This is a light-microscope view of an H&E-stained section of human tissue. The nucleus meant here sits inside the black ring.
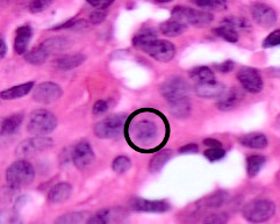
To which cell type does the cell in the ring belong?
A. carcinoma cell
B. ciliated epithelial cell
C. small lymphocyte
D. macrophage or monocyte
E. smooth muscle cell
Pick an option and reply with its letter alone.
A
